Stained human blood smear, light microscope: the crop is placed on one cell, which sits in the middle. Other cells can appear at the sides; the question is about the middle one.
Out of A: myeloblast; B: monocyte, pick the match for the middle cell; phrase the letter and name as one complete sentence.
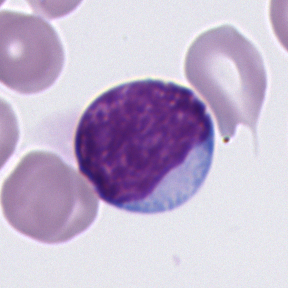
The cell at the centre is a myeloblast, and option A accordingly is correct.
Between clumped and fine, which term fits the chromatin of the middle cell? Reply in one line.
Answer: the chromatin in this nucleus is coarsely clumped.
